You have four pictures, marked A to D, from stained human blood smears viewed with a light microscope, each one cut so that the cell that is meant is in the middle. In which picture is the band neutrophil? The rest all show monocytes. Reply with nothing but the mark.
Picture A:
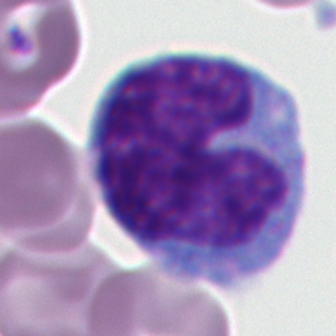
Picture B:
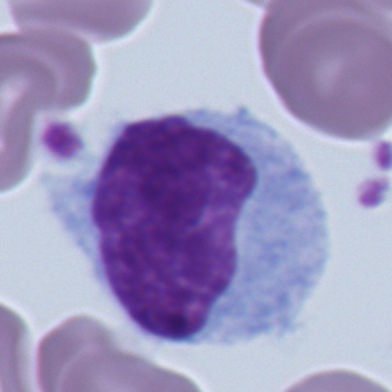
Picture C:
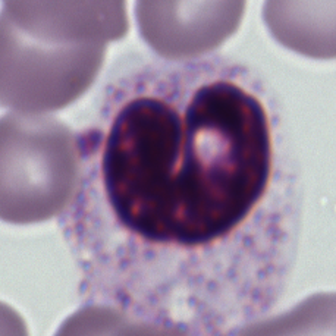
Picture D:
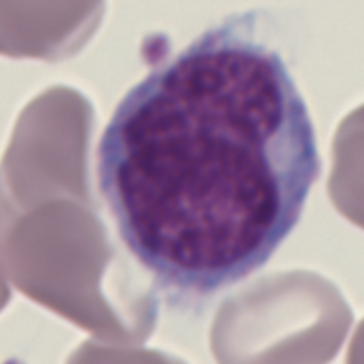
C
